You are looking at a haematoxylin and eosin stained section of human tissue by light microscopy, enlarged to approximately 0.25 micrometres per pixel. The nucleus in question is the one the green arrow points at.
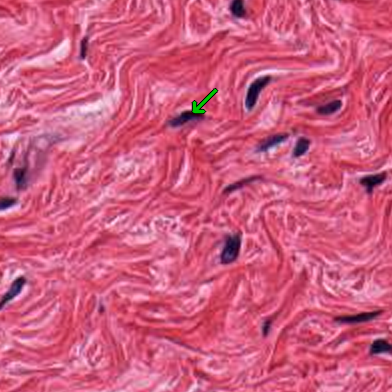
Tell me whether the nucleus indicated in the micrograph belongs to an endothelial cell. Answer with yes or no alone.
no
